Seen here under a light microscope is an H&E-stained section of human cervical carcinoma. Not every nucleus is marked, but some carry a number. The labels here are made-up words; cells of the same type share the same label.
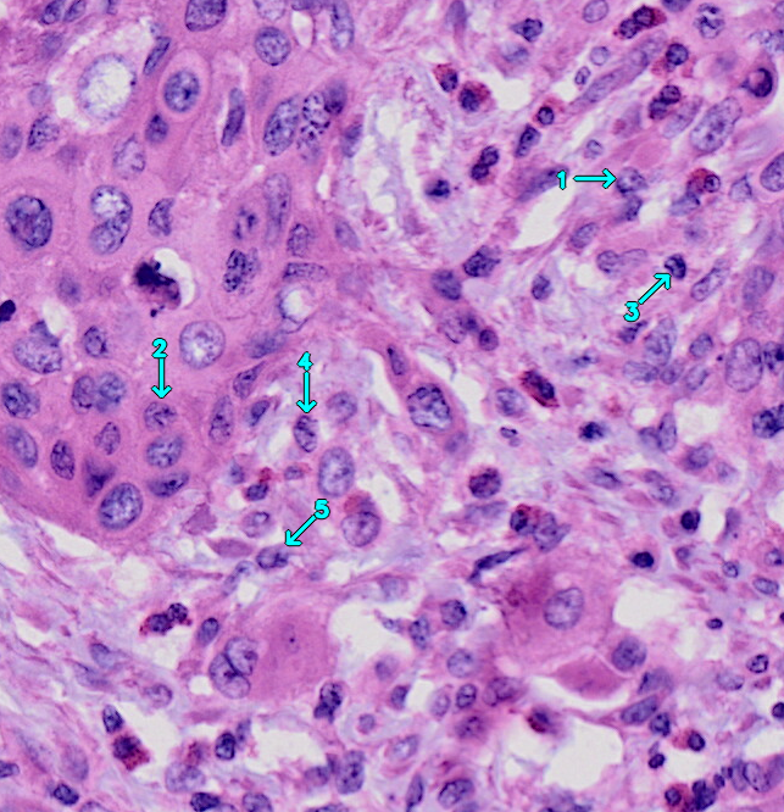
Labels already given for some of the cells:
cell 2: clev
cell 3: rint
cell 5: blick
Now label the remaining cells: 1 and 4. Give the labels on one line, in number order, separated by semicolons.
blick; blick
